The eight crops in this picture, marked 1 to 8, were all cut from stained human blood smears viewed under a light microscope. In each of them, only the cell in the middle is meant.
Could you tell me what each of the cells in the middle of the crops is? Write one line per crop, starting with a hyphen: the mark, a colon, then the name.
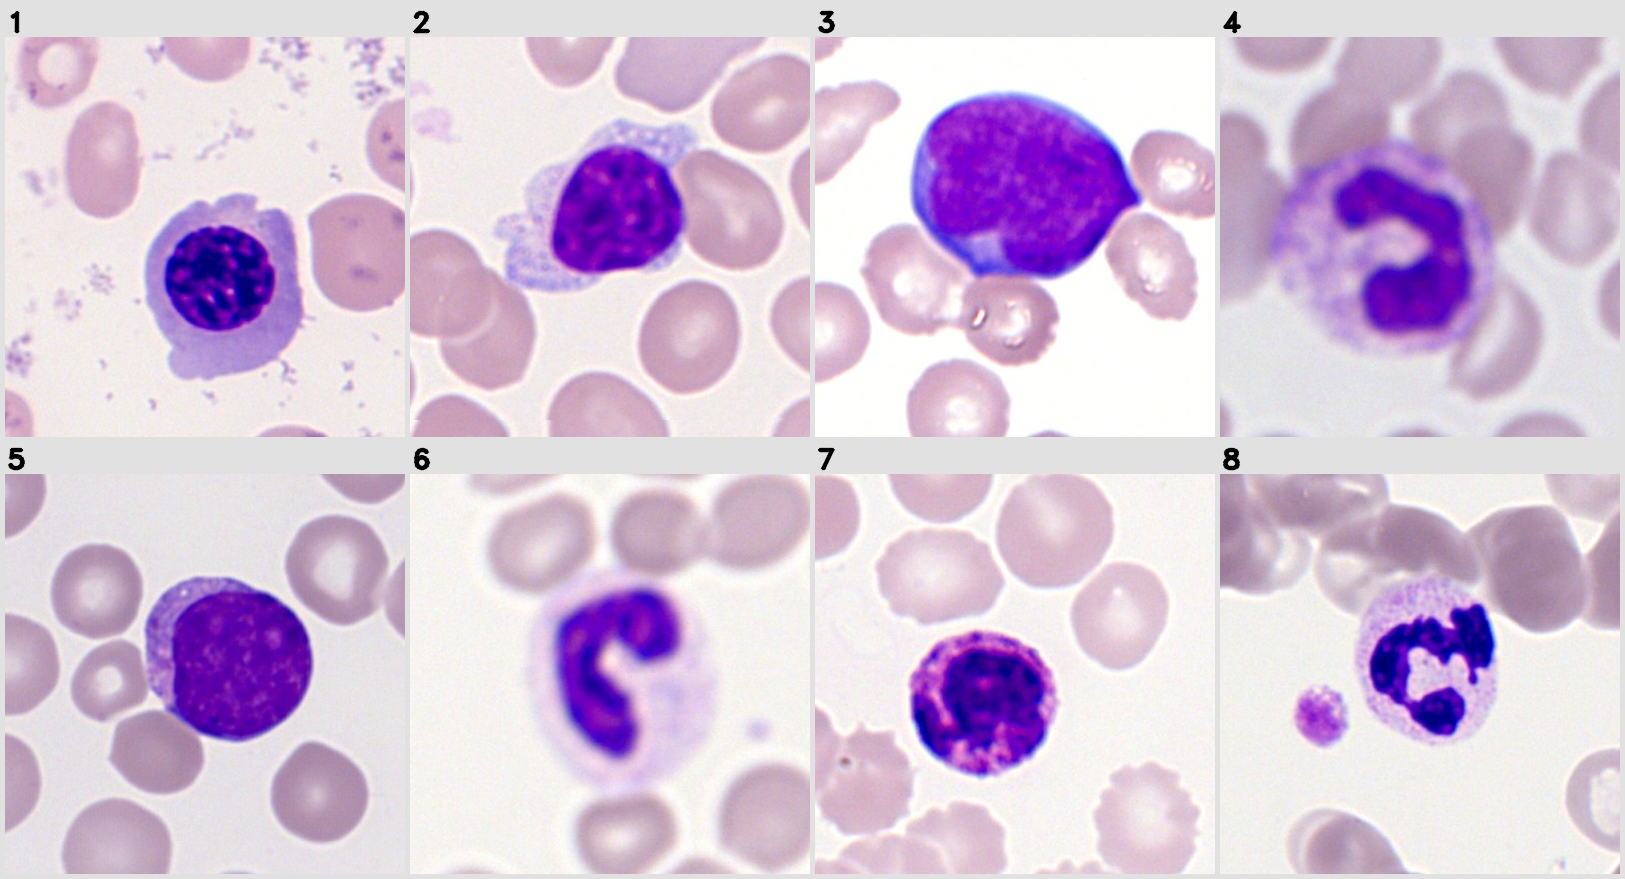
- 1: normoblast
- 2: lymphocyte
- 3: myeloblast
- 4: band neutrophil
- 5: myeloblast
- 6: band neutrophil
- 7: basophil
- 8: segmented neutrophil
